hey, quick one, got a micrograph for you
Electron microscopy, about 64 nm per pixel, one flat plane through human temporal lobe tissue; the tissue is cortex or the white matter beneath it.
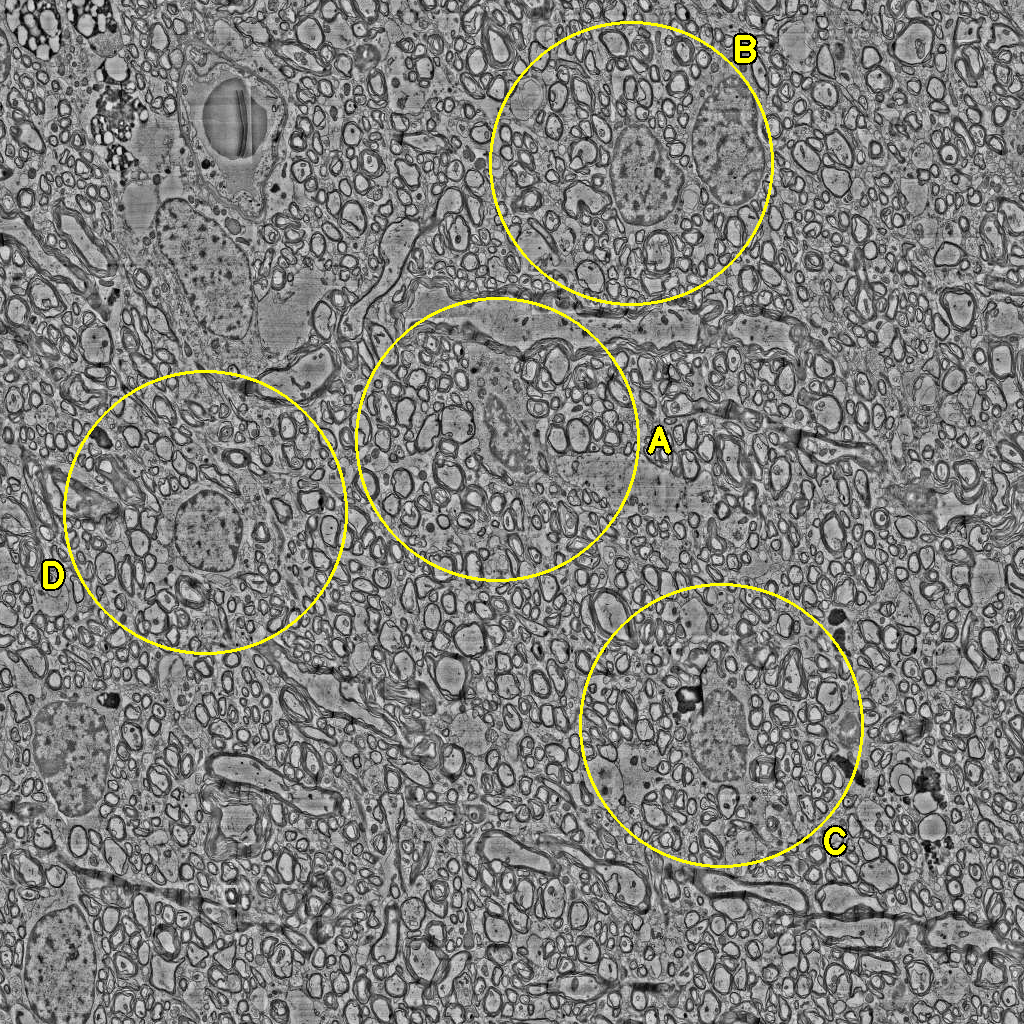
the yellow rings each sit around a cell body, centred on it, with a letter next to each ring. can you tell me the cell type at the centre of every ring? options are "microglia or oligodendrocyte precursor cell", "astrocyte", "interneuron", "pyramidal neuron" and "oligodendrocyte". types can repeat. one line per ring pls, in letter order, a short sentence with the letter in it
Ring A goes around an oligodendrocyte.
Ring B goes around an oligodendrocyte.
Ring C goes around an oligodendrocyte.
Ring D goes around a microglial cell or oligodendrocyte precursor cell.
